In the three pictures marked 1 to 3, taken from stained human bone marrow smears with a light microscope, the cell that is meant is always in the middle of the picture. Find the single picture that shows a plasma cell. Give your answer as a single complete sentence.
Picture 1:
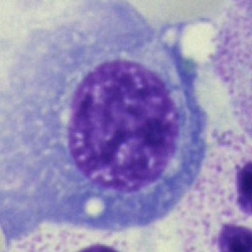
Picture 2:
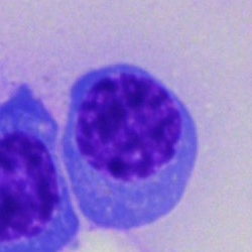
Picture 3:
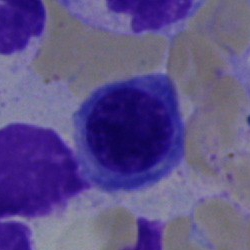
The cell in picture 1 is the plasma cell.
